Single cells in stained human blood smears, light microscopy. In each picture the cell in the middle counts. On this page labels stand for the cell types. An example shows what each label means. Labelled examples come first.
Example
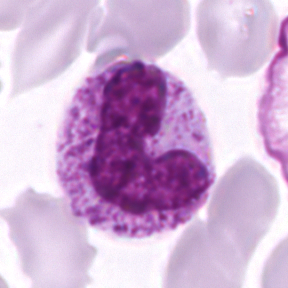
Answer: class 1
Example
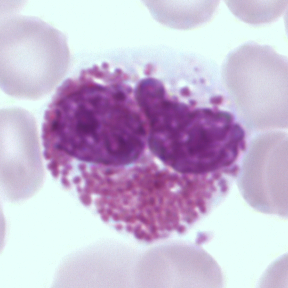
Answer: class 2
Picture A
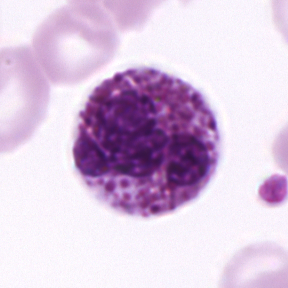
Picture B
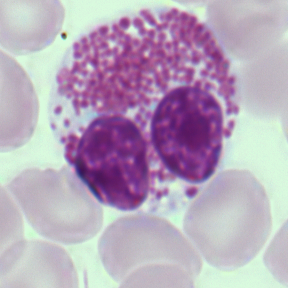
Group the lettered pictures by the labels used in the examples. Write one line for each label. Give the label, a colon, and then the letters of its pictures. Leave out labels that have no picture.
class 2: A, B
